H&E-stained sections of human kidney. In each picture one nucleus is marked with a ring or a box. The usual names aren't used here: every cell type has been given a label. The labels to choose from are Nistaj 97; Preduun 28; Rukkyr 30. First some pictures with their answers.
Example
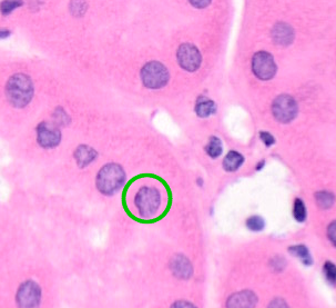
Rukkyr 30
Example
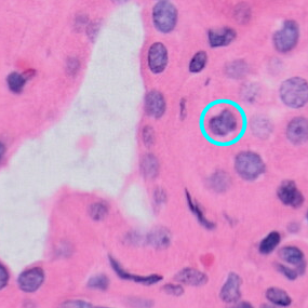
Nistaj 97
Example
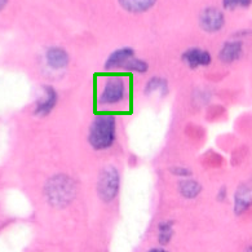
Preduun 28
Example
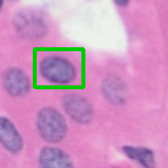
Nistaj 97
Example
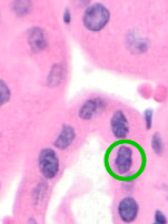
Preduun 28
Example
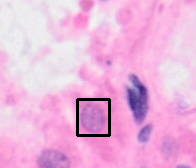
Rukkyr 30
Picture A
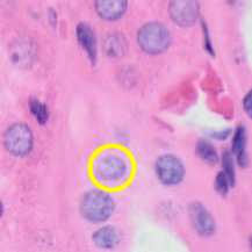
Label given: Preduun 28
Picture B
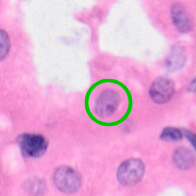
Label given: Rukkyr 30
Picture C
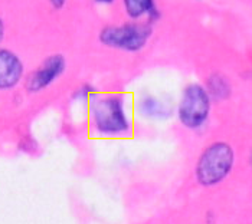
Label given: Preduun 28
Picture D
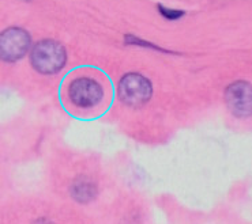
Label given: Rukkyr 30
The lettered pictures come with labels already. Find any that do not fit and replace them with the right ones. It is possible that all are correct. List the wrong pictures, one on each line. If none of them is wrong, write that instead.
C: Nistaj 97, not Preduun 28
